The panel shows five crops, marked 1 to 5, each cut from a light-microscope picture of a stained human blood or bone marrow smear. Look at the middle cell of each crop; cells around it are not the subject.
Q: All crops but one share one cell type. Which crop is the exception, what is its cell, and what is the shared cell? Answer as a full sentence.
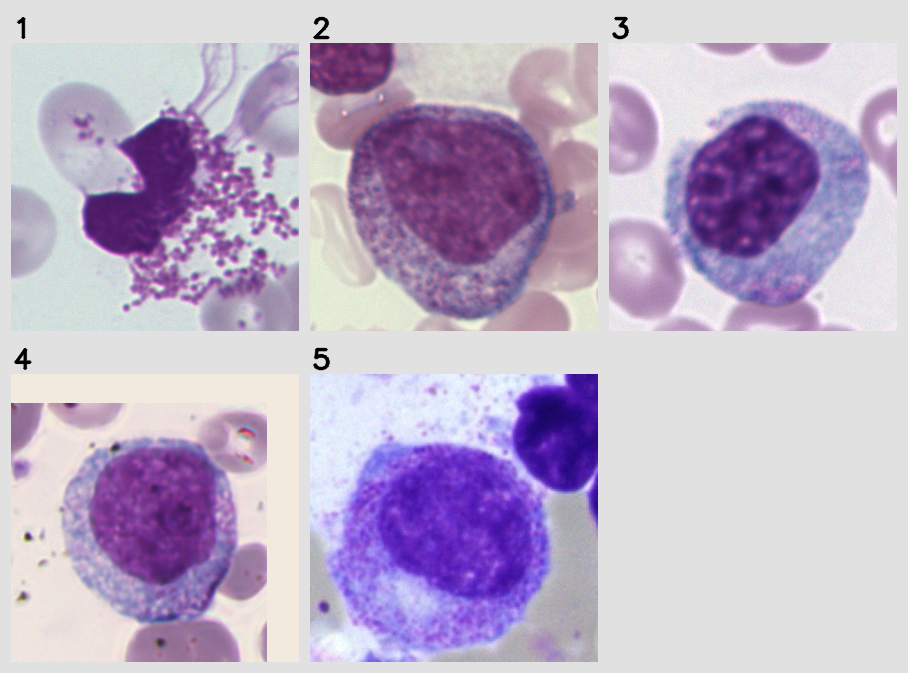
Of these crops, only crop 1 is an eosinophil; the others are promyelocytes.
